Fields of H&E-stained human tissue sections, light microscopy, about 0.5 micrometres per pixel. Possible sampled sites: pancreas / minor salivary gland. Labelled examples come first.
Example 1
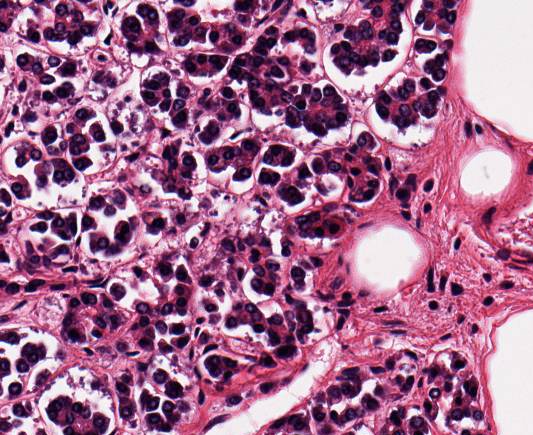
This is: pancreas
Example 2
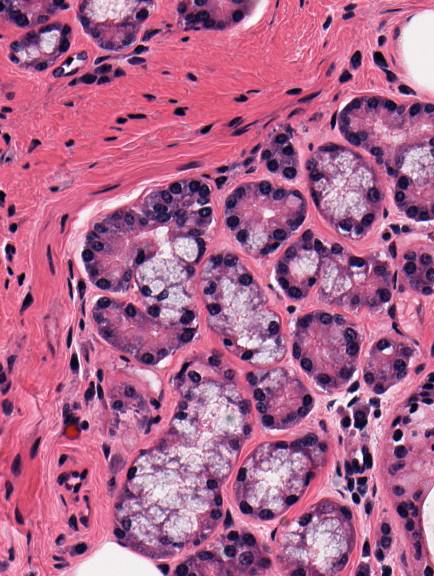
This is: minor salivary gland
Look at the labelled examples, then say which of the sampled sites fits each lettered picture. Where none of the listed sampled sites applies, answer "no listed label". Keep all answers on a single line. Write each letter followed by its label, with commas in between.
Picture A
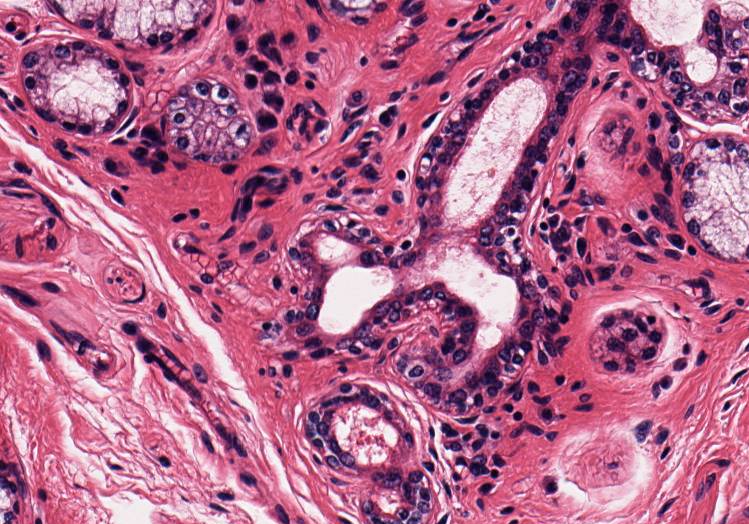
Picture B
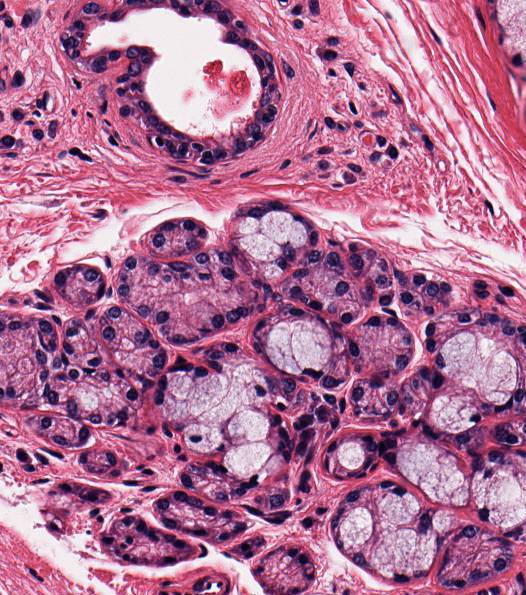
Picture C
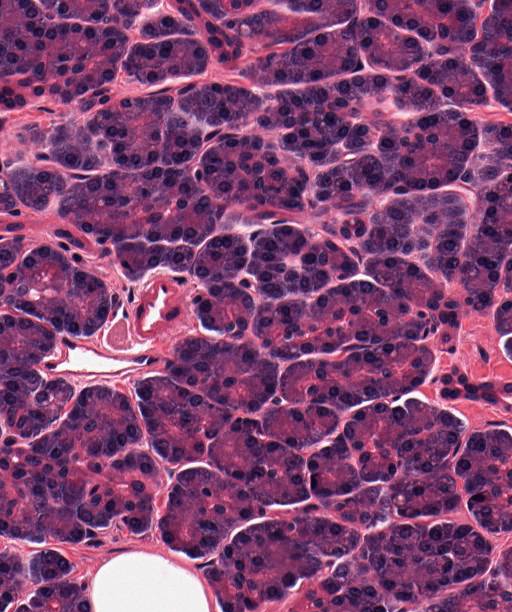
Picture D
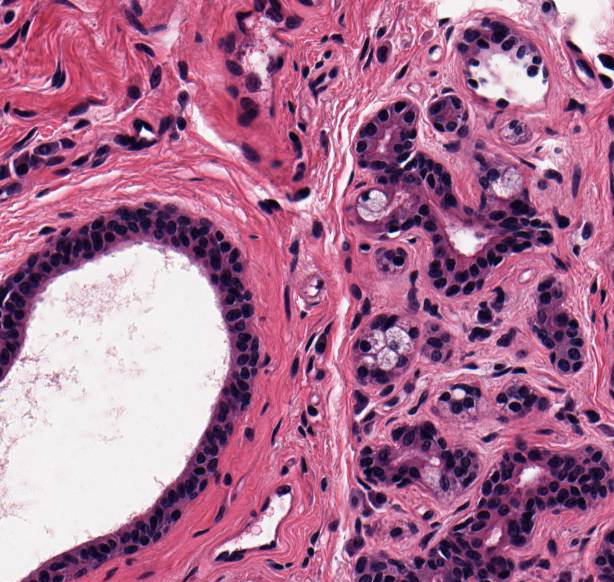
A minor salivary gland, B minor salivary gland, C pancreas, D minor salivary gland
